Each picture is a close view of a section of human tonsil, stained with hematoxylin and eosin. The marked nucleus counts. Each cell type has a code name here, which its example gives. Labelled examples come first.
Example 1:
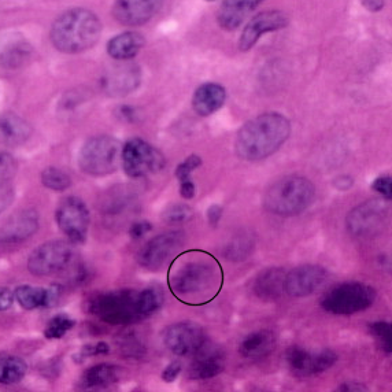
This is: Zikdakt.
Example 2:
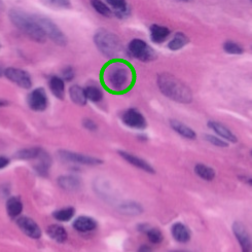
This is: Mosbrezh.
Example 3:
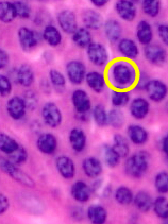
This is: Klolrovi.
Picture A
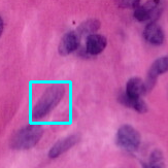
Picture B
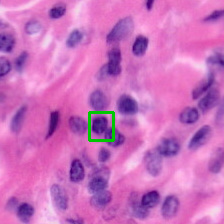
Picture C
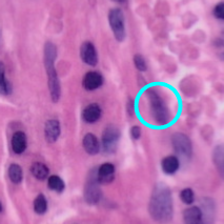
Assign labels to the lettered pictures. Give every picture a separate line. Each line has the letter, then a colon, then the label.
A: Mosbrezh.
B: Klolrovi.
C: Mosbrezh.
